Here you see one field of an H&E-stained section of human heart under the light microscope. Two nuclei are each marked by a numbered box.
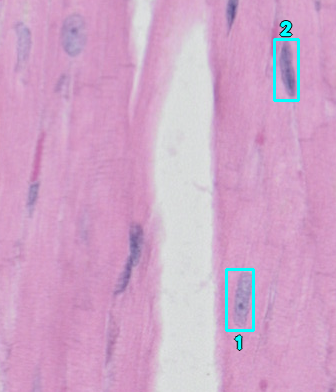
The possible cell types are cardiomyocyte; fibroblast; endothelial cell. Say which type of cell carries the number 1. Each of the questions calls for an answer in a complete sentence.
The nucleus marked 1 is the nucleus of a cardiomyocyte.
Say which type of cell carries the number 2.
The cell pointed out by number 2 is a fibroblast.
